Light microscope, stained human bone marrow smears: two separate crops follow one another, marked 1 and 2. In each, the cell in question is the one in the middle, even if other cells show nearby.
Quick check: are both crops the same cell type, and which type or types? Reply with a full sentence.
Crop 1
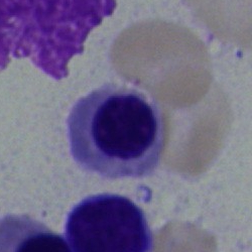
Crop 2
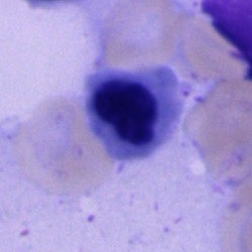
Yes, both crops do show erythroblasts in the middle.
